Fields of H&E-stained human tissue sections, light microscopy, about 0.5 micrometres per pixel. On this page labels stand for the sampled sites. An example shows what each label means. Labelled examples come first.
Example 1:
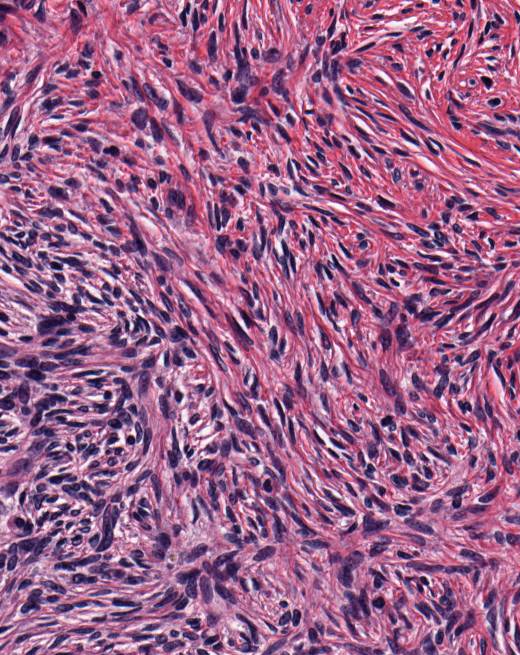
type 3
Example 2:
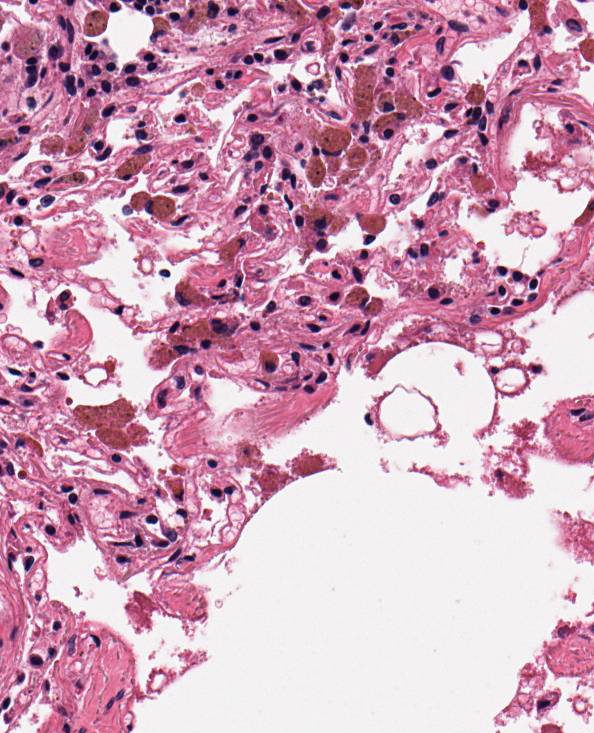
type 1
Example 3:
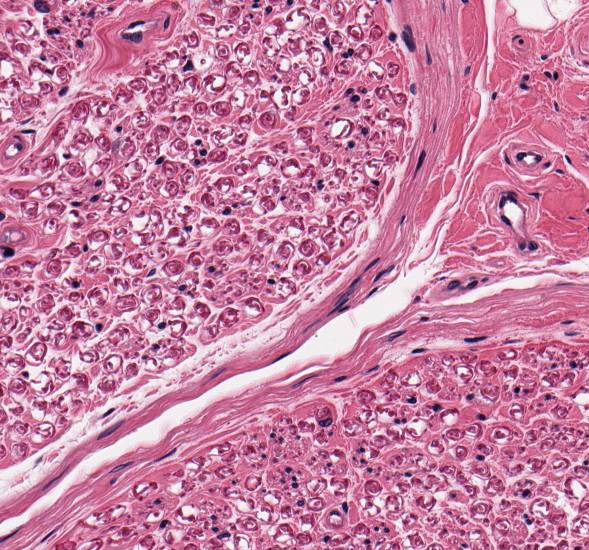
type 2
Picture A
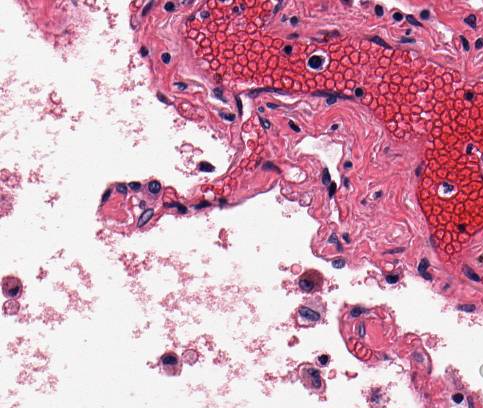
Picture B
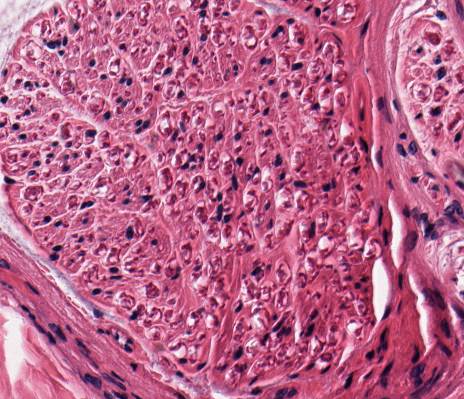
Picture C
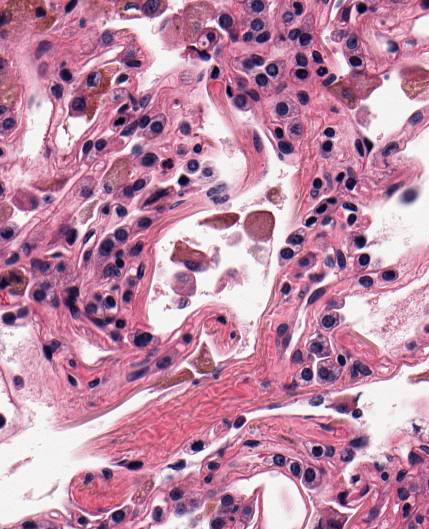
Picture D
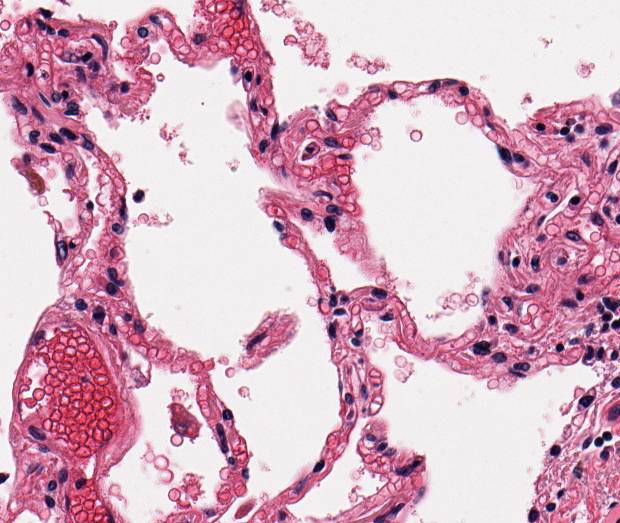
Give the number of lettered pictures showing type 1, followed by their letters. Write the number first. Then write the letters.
Count: 3 (A, C, D)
